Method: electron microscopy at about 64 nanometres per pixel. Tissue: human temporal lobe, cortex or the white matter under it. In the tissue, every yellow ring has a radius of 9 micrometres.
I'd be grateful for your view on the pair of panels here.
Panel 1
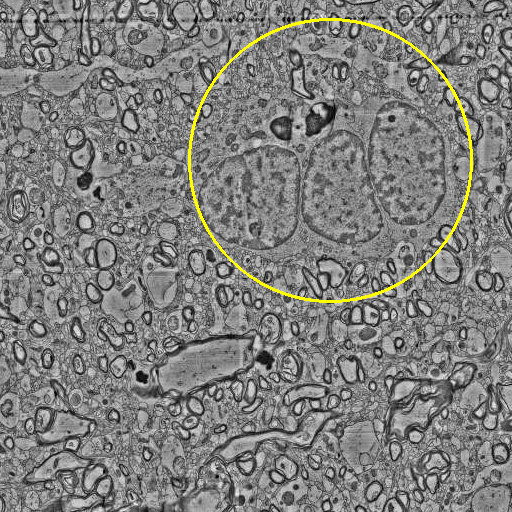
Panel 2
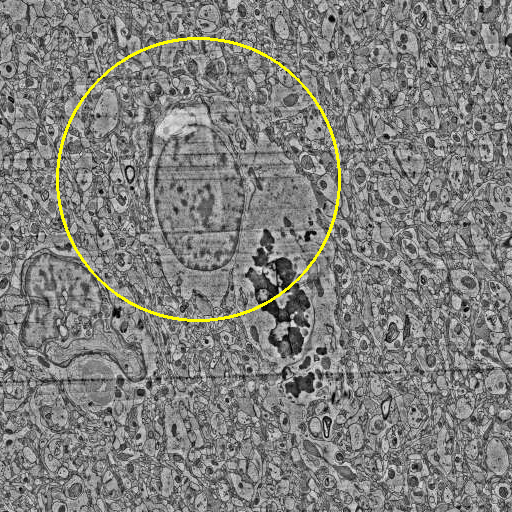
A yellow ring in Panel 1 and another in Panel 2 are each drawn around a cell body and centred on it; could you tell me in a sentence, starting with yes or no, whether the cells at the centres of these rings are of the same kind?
No, they are two kinds of cell.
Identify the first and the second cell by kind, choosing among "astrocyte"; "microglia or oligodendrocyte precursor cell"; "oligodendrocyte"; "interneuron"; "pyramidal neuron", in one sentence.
The one in the first picture is an oligodendrocyte, while the one in the second is an astrocyte.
